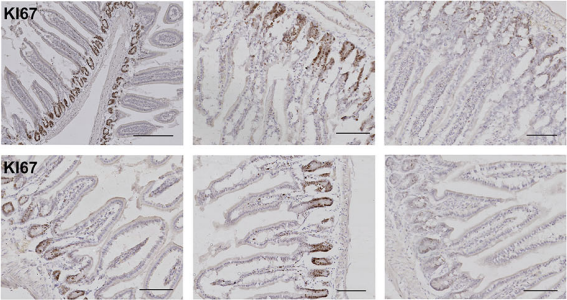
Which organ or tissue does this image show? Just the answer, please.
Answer: Small intestine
